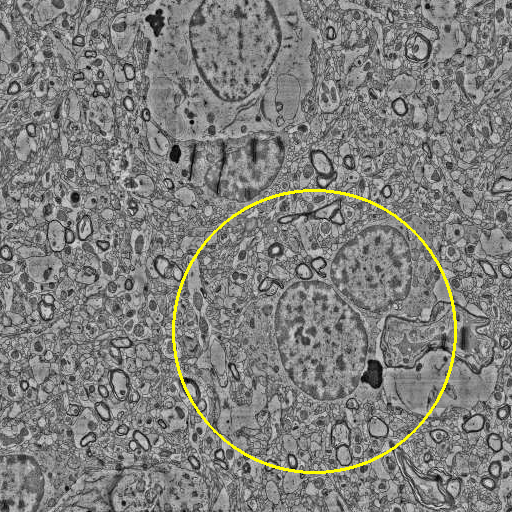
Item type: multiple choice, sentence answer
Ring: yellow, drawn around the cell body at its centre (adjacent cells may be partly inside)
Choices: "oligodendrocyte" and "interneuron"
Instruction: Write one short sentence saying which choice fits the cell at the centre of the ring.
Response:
This ring is drawn around an oligodendrocyte.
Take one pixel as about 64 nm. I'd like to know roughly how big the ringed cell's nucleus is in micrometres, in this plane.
In this plane, approximately 8 by 5 micrometers.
